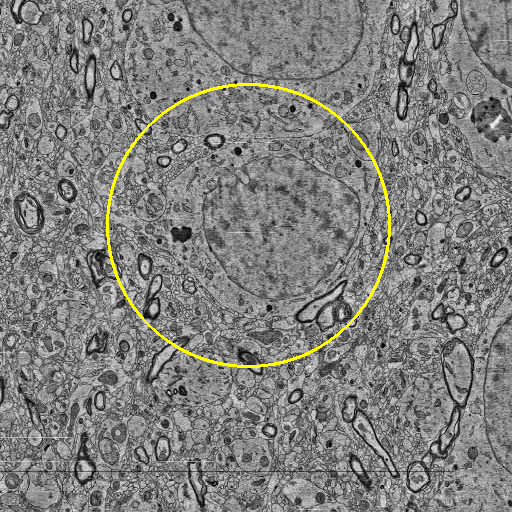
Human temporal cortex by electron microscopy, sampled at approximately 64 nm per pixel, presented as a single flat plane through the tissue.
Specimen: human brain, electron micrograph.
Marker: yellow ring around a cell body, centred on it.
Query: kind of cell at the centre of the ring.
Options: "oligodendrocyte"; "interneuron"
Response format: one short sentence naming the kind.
This cell body belongs to an interneuron.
